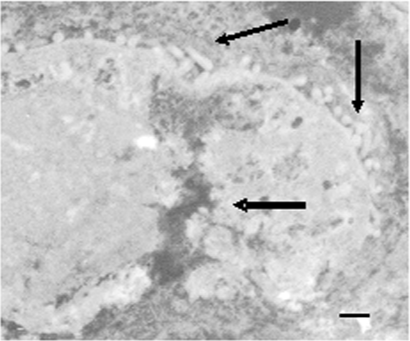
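A single rounded structure fills most of the grey field. An irregular, dark, branching mass lies near its center. Many small, pale, rod-like particles crowd along its outer rim.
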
